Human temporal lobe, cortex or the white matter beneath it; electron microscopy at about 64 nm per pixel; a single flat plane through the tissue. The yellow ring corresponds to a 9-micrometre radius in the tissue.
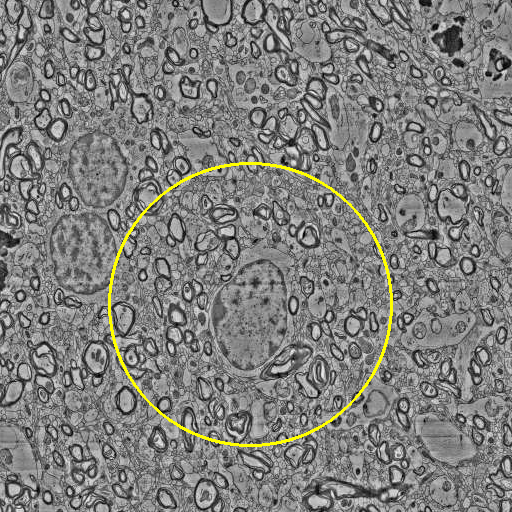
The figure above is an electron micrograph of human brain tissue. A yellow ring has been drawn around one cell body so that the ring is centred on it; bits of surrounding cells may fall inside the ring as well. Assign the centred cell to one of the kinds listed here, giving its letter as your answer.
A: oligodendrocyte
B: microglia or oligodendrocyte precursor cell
B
